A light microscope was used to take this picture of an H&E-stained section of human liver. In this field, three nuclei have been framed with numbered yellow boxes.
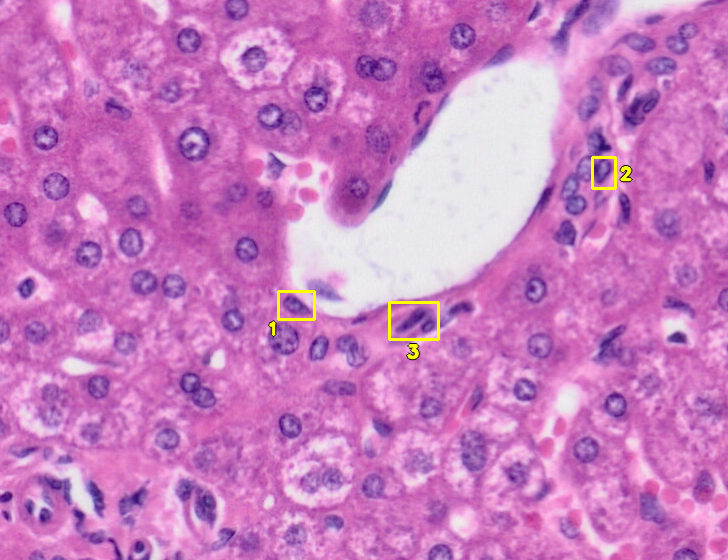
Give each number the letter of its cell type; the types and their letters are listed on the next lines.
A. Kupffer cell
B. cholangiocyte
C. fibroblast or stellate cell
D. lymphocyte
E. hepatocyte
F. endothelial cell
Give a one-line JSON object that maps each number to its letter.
{"1": "C", "2": "B", "3": "C"}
